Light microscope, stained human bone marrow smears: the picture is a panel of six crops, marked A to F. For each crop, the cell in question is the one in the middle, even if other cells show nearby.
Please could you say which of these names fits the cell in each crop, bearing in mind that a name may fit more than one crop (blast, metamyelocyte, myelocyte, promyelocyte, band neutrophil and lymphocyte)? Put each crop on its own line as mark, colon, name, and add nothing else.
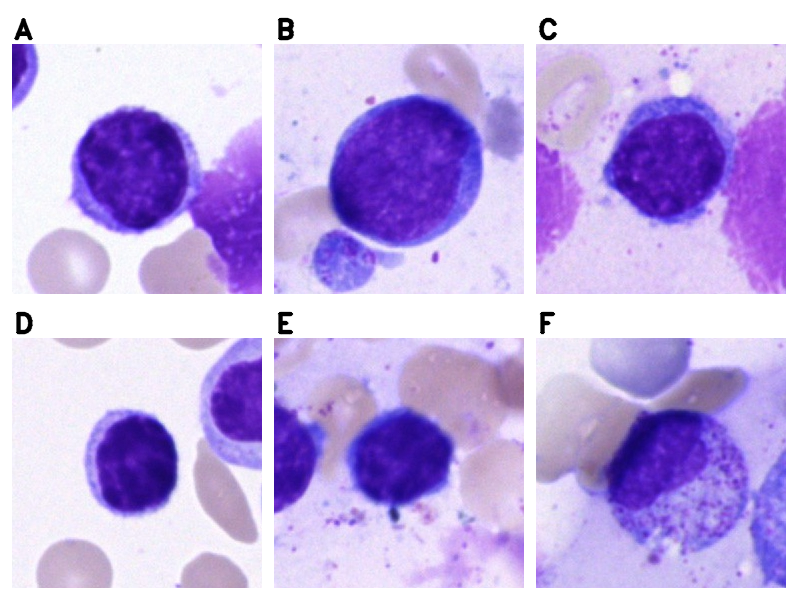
A: lymphocyte
B: blast
C: lymphocyte
D: lymphocyte
E: lymphocyte
F: metamyelocyte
